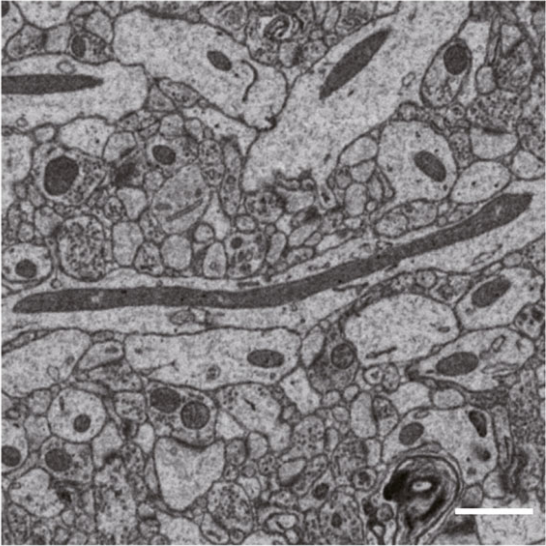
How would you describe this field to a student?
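Neuropil with a pale dendritic shaft running nearly horizontally across the middle of the field. Within it lies a long, slender, electron-dense mitochondrion of fairly even width along its length, without an obvious narrowed segment. Surrounding tissue shows many small rounded profiles, several filled with small vesicles, and pale processes containing oval dark mitochondria cut in cross section. A further long dark mitochondrion lies in a process at the upper left. A myelinated profile with a dark compact sheath lies at the lower right.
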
